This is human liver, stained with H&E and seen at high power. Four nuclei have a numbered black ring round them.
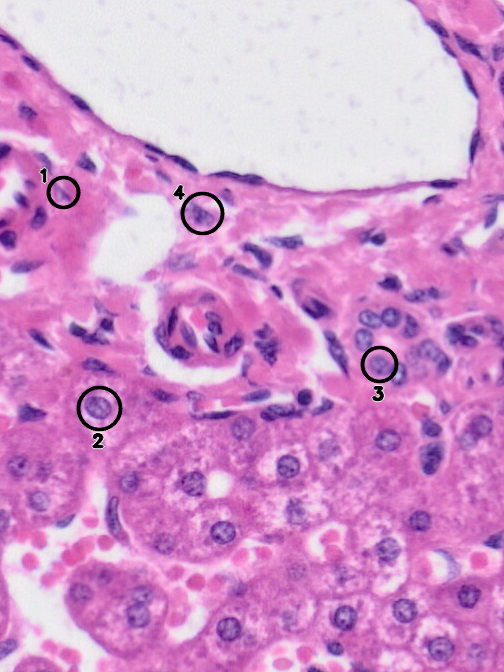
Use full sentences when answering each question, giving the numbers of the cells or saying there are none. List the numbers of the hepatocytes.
Only cell 2 should be marked as a hepatocyte.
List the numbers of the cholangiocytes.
The numbered cells include exactly one that is a cholangiocyte, which is cell 3.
